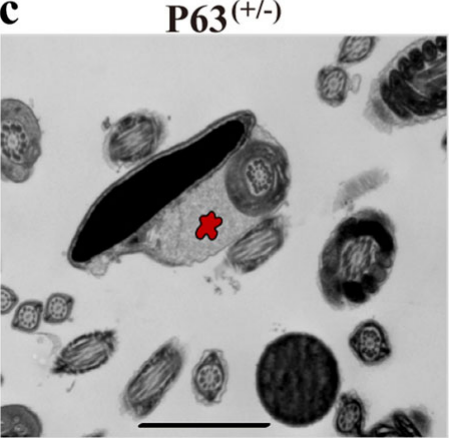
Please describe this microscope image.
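An elongated, uniformly electron-dense sperm head lies against a large, pale, finely granular membrane-bound mass of cytoplasm, marked by the asterisk. The mass also encloses a cross-sectioned tail with its ring of outer fibres and central axoneme. Around it lie many free tail cross-sections of different levels: middle pieces ringed by mitochondria, principal pieces with fibrous sheath, and small end pieces showing the nine-plus-two microtubule pattern. A round dense body lies below.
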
